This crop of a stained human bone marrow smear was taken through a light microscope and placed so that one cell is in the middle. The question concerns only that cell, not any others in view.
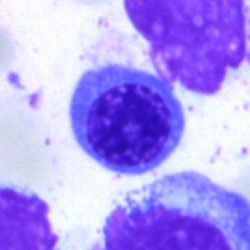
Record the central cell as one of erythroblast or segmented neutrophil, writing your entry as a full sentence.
The cell that lies at the centre of the crop is an erythroblast.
